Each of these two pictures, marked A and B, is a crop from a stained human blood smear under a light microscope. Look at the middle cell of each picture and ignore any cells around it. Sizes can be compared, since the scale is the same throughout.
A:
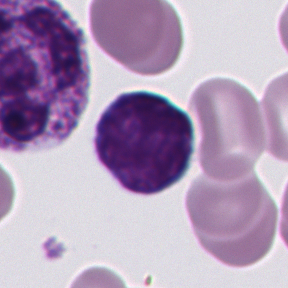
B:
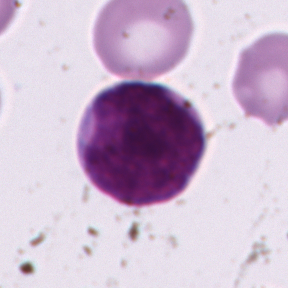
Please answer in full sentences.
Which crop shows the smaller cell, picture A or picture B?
Smaller is the cell in picture A, and the other is about 1.5 times as large in area.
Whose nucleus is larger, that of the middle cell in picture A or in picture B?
It is the nucleus in picture B, about 1.5 times as large in area as the one in picture A.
